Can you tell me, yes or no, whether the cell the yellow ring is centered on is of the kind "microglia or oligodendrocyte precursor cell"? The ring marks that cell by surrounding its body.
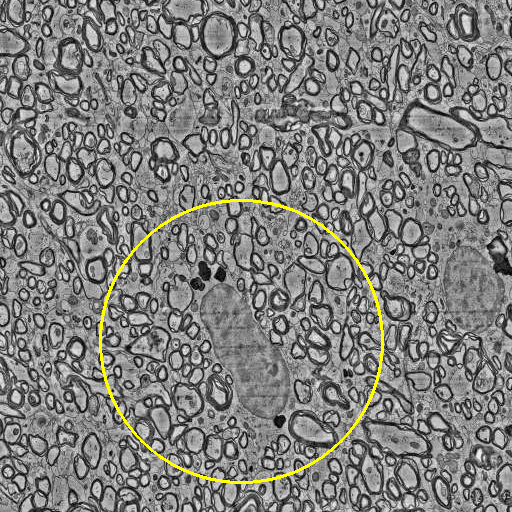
no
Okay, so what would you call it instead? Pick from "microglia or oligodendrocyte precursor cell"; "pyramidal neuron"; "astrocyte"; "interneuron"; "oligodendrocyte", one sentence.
The answer is that the ringed cell is an oligodendrocyte.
